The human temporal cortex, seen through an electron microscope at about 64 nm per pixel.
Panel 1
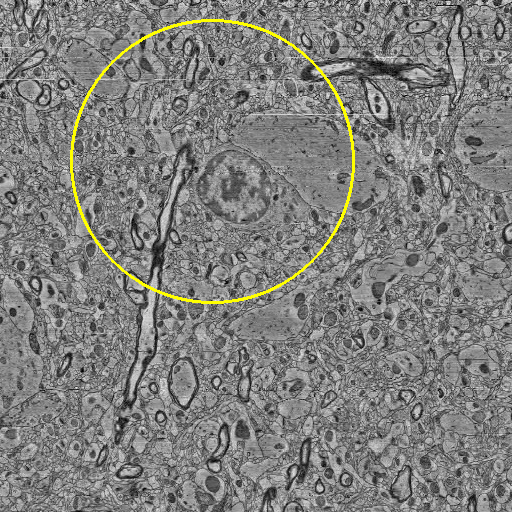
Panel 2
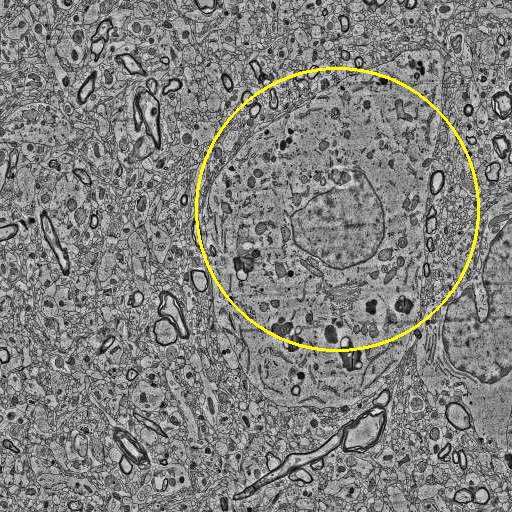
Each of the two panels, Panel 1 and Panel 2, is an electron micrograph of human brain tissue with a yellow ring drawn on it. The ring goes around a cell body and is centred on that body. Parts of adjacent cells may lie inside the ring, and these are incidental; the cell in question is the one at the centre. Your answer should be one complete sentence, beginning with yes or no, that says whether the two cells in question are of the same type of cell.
No, the two cells are of two types.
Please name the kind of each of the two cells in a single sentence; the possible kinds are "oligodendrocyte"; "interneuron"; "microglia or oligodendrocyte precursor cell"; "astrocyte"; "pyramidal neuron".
In the first picture the ring is centred on an oligodendrocyte, and in the second on a pyramidal neuron.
